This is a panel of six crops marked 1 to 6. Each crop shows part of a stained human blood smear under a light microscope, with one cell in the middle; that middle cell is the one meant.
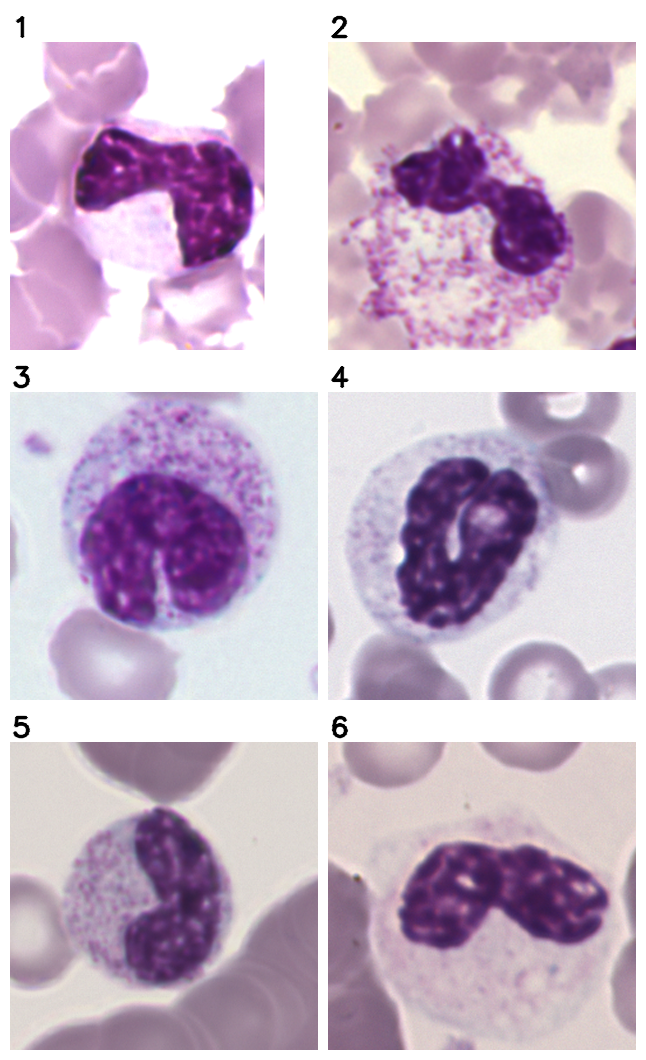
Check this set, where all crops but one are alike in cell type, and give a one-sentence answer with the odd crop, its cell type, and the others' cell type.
The exception is crop 2, with a segmented neutrophil; the remaining crops all show band neutrophils.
